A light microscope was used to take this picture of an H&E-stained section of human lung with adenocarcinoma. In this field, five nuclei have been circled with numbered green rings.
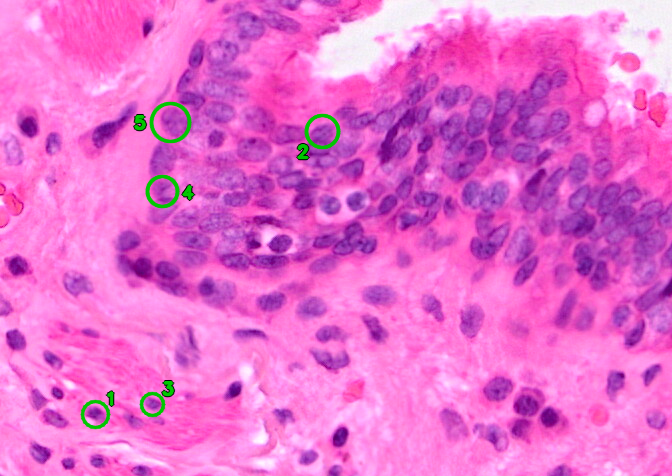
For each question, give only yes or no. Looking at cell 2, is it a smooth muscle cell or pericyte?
no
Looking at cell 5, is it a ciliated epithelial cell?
yes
